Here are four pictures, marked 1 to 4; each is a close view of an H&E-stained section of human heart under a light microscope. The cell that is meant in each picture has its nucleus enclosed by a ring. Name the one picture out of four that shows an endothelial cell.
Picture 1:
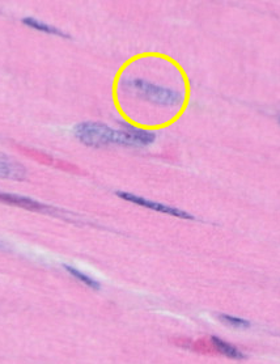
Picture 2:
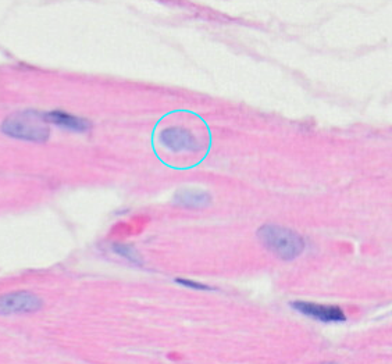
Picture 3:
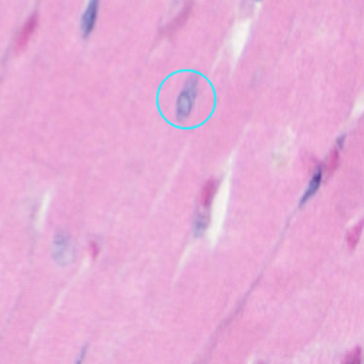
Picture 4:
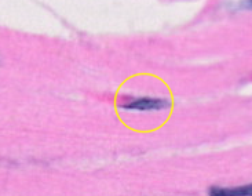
4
